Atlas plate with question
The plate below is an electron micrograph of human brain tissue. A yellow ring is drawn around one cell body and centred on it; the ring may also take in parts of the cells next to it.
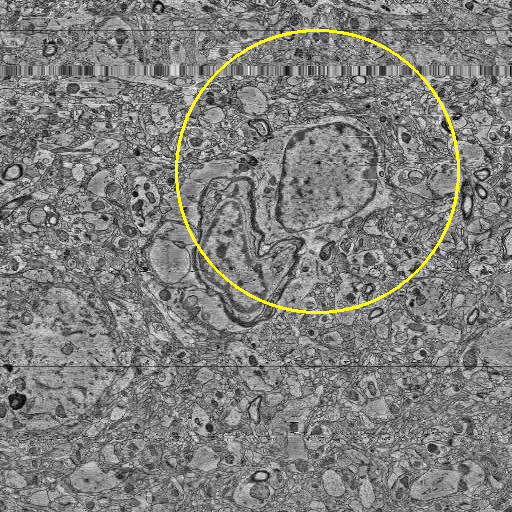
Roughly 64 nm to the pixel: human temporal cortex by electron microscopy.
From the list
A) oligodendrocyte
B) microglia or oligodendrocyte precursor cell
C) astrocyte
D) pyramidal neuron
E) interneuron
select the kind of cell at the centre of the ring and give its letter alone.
B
